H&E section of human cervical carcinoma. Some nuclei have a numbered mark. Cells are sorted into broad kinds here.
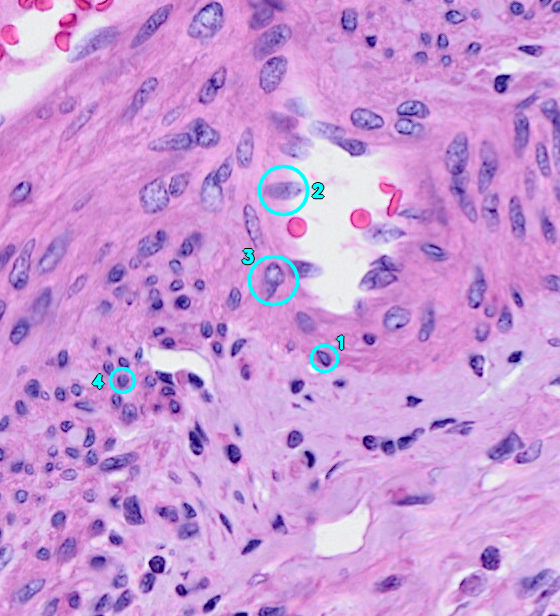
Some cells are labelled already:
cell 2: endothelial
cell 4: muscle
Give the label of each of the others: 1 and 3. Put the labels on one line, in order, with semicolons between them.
muscle; muscle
